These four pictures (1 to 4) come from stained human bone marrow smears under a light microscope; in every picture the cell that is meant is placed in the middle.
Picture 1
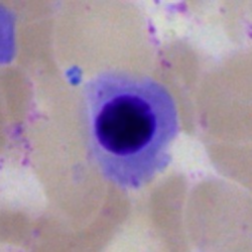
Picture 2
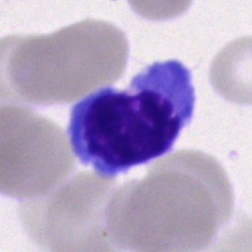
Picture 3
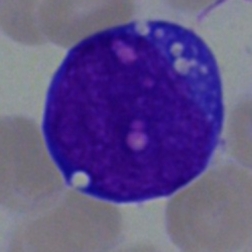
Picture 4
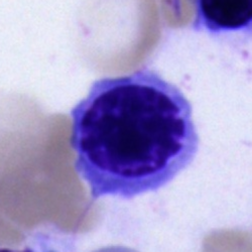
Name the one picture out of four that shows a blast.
3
